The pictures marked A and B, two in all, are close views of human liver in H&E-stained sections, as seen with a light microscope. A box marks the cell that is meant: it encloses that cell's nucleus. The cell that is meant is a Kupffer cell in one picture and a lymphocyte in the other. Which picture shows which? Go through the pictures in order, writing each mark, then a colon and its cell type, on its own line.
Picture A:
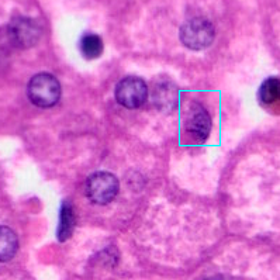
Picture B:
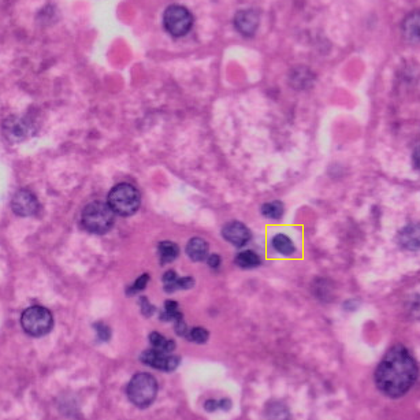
A: Kupffer cell
B: lymphocyte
